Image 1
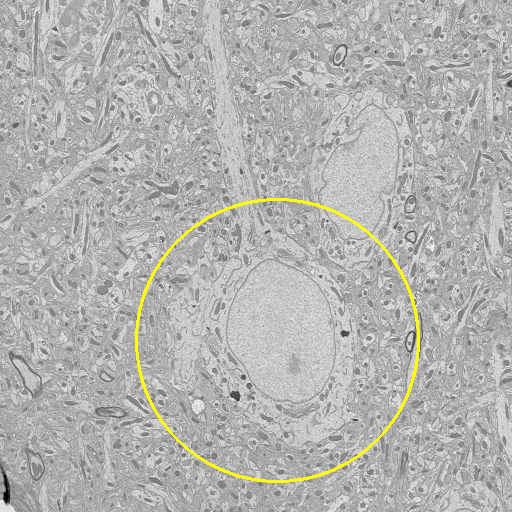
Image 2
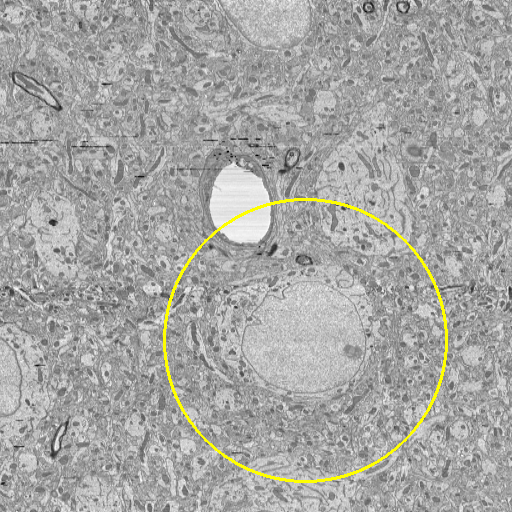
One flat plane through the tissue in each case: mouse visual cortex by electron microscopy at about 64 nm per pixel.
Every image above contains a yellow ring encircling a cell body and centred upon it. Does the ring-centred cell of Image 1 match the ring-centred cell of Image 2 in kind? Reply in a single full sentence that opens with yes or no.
Yes, the cell at the ring's centre in Image 1 is the same kind as that in Image 2.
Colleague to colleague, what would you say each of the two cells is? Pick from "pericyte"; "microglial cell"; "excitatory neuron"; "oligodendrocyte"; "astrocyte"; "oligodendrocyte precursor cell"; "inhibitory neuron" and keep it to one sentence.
Each cell, in the first picture and the second, is an excitatory neuron.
